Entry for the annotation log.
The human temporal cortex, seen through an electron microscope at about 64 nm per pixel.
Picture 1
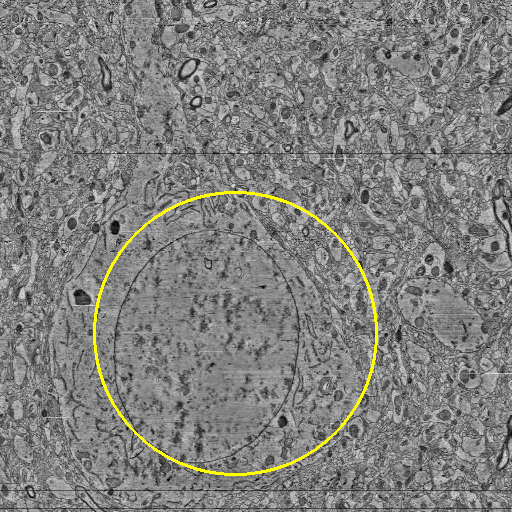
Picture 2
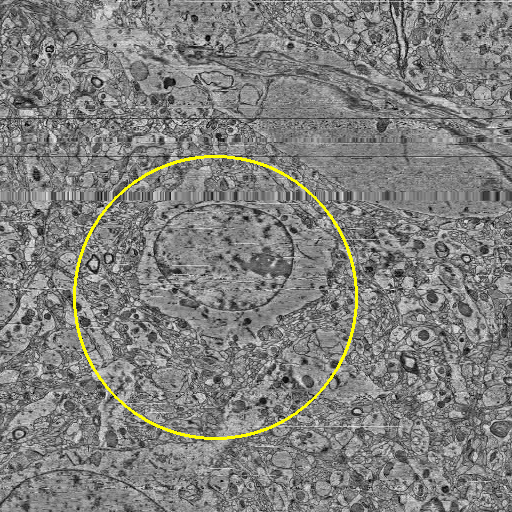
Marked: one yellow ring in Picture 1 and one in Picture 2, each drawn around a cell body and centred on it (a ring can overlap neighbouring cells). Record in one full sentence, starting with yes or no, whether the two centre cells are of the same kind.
No, the two cells are of two kinds.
